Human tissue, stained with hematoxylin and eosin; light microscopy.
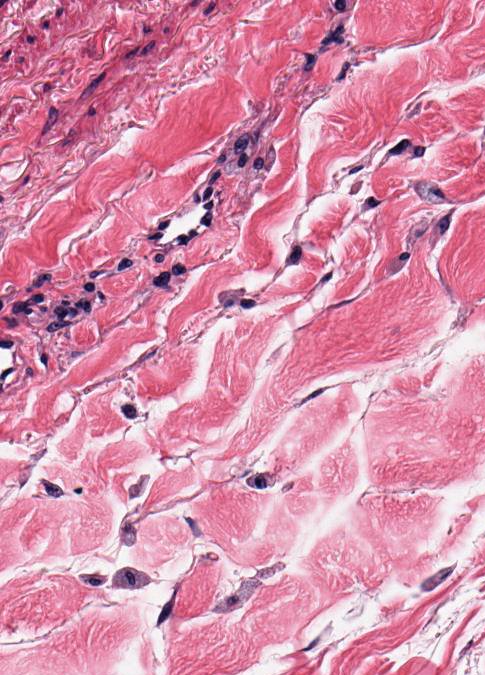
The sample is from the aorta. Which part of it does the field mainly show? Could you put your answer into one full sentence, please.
This histology image has as its subject the part called tunica adventitia.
